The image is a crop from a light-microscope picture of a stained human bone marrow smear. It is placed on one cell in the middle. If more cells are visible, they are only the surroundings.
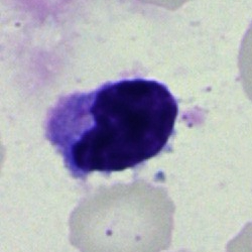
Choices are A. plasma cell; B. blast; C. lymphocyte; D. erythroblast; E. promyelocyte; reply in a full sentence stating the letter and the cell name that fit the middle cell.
Well, the cell in the middle is a lymphocyte, making option C right.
